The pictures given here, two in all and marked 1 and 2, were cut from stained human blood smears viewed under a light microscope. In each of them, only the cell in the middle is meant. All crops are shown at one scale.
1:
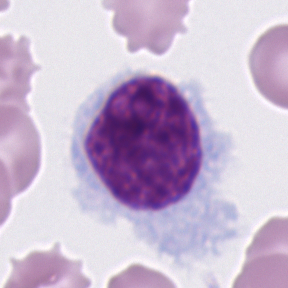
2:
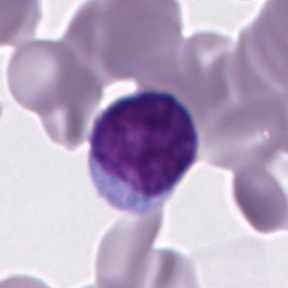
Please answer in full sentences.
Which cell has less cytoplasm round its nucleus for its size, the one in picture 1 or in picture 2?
In picture 2 the nucleus takes up the larger part of its cell.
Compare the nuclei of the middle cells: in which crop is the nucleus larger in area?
Picture 1 shows the larger nucleus; it covers about 1.5 times the area of the nucleus in picture 2.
